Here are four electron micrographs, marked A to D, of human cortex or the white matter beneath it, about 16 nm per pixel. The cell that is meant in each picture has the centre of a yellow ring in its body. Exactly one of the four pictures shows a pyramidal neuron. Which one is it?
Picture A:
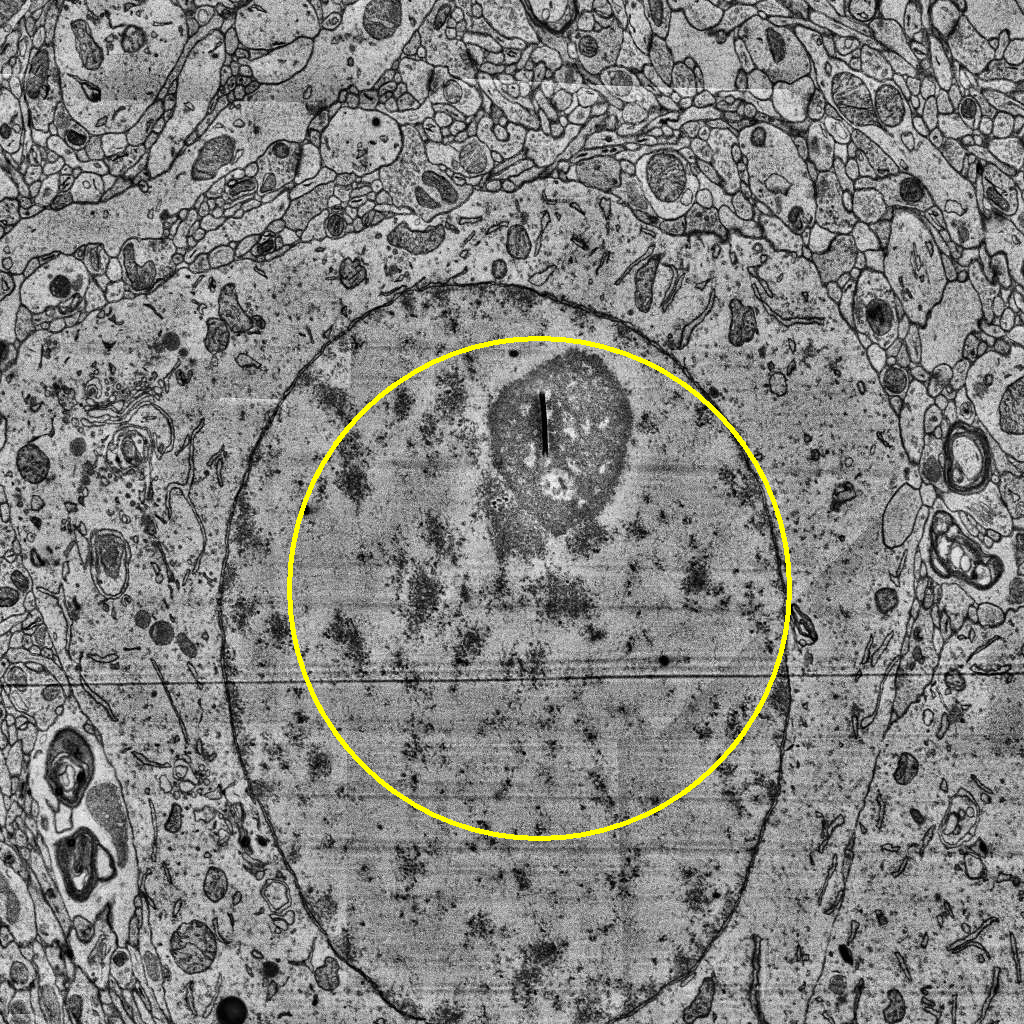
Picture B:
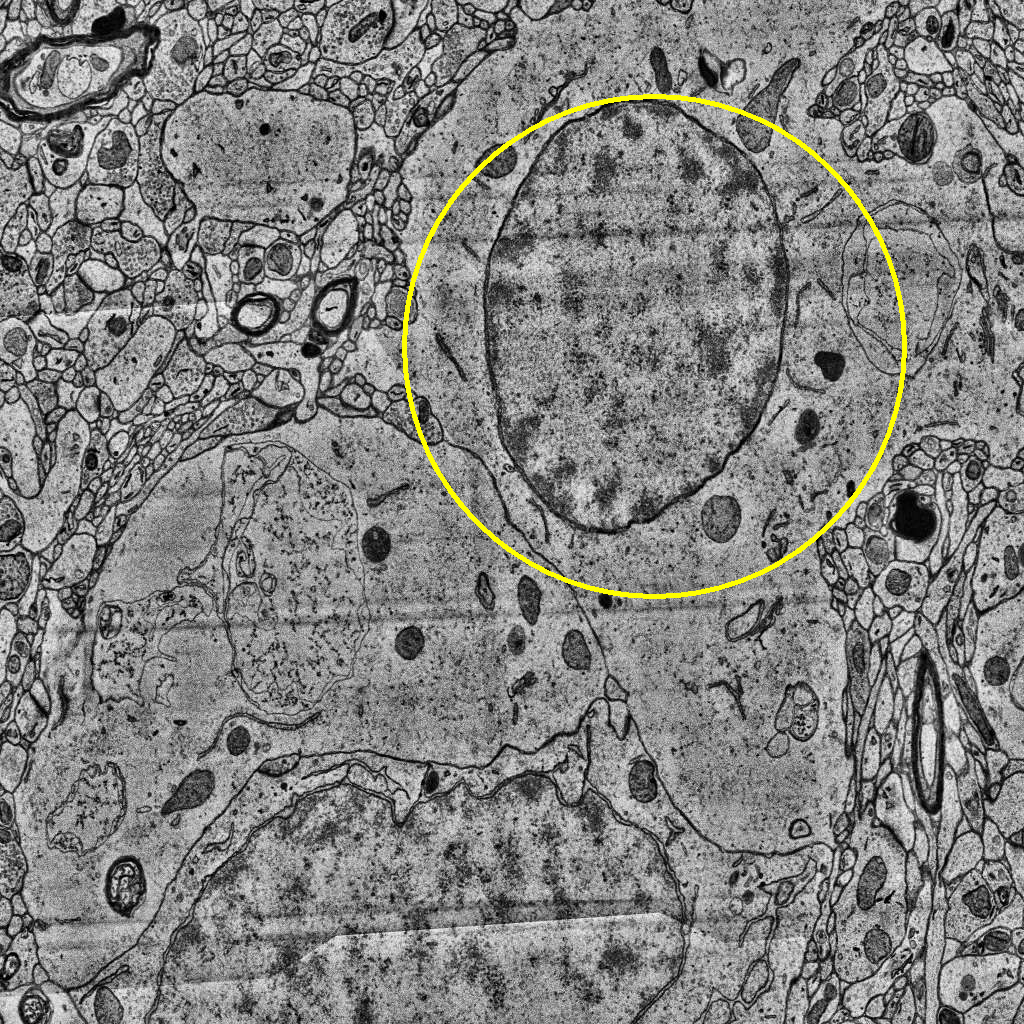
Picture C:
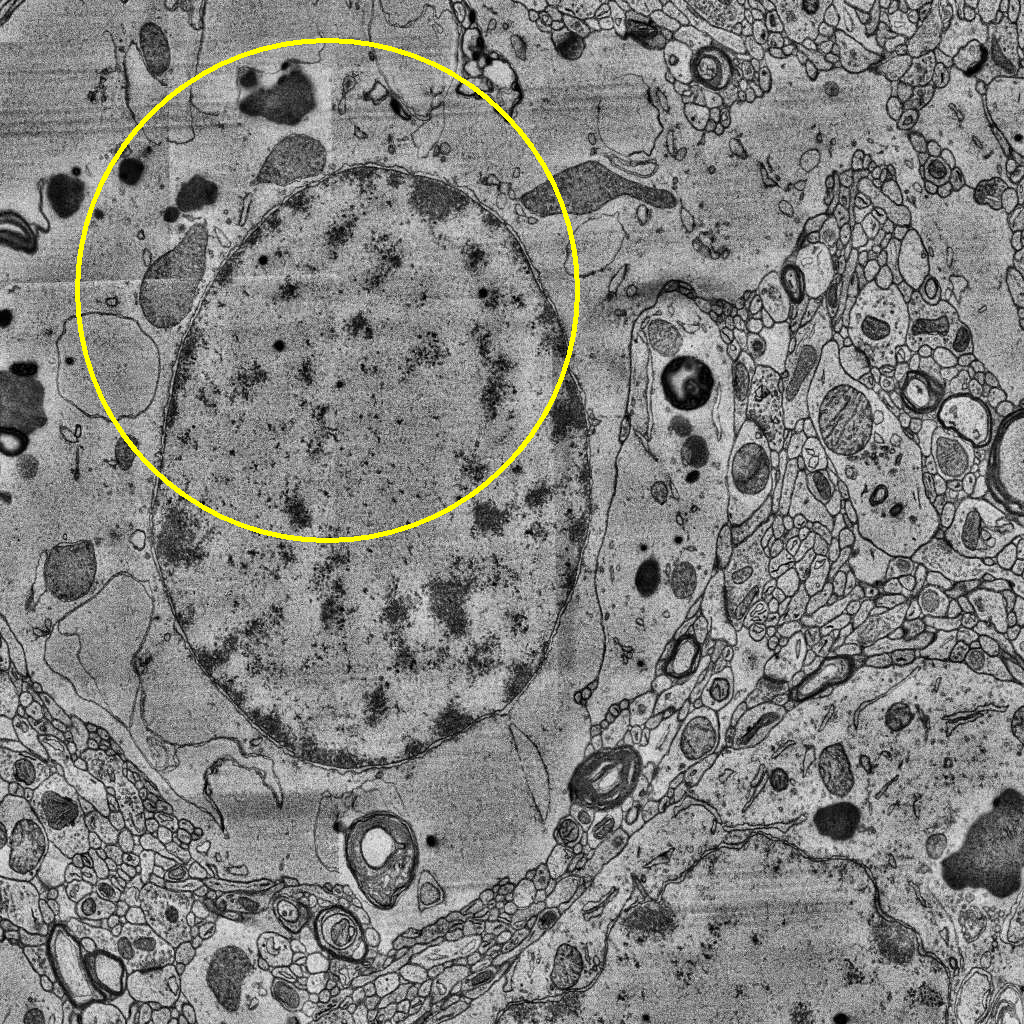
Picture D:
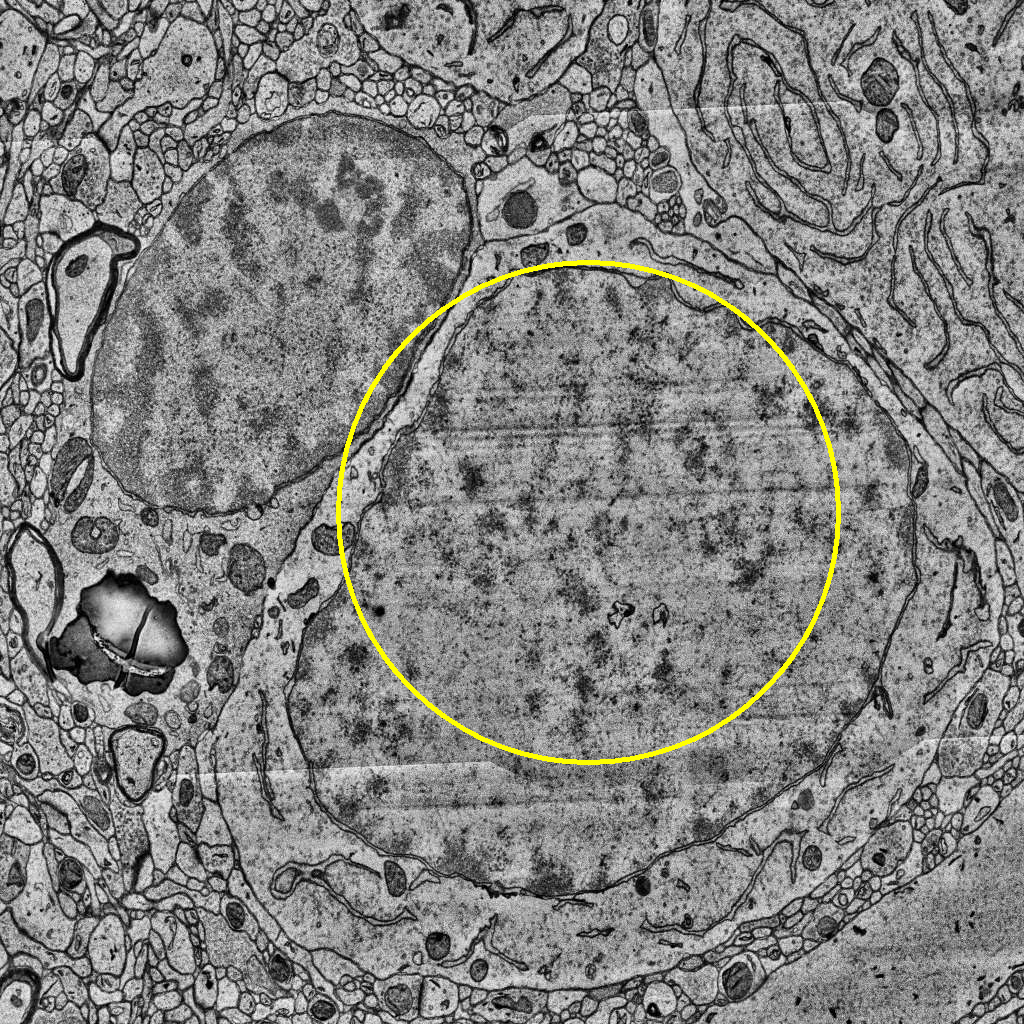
Picture A is the one that shows the pyramidal neuron.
